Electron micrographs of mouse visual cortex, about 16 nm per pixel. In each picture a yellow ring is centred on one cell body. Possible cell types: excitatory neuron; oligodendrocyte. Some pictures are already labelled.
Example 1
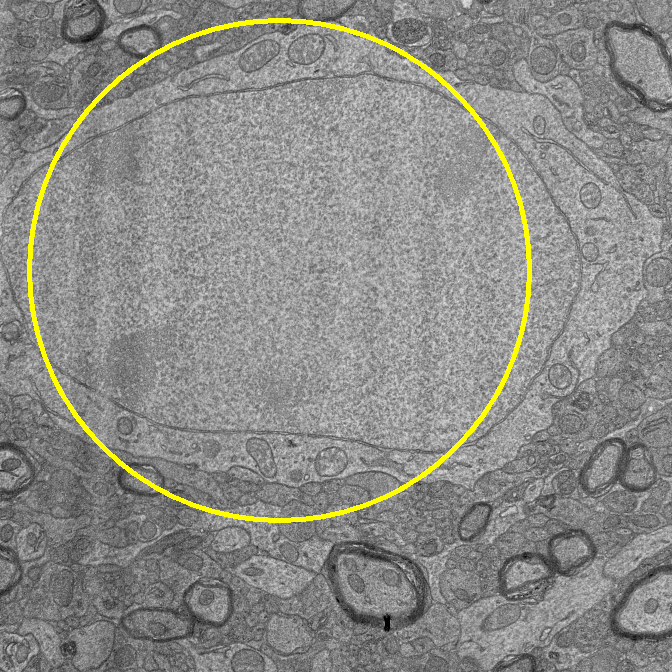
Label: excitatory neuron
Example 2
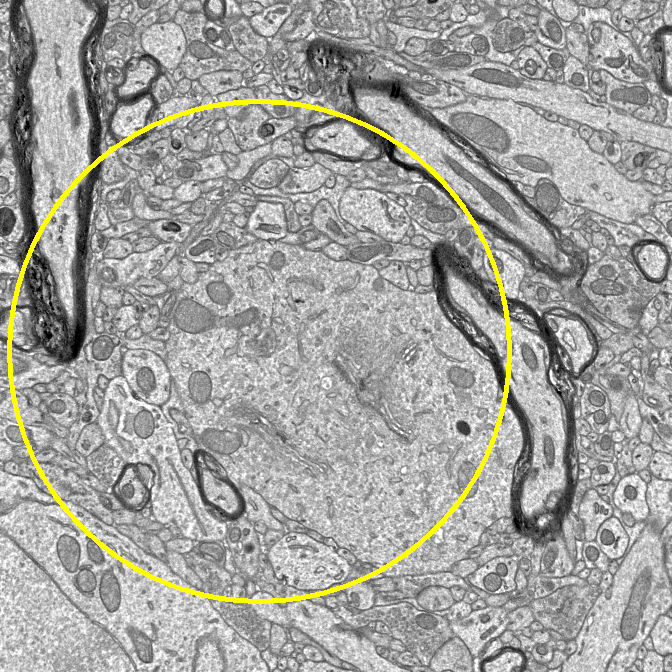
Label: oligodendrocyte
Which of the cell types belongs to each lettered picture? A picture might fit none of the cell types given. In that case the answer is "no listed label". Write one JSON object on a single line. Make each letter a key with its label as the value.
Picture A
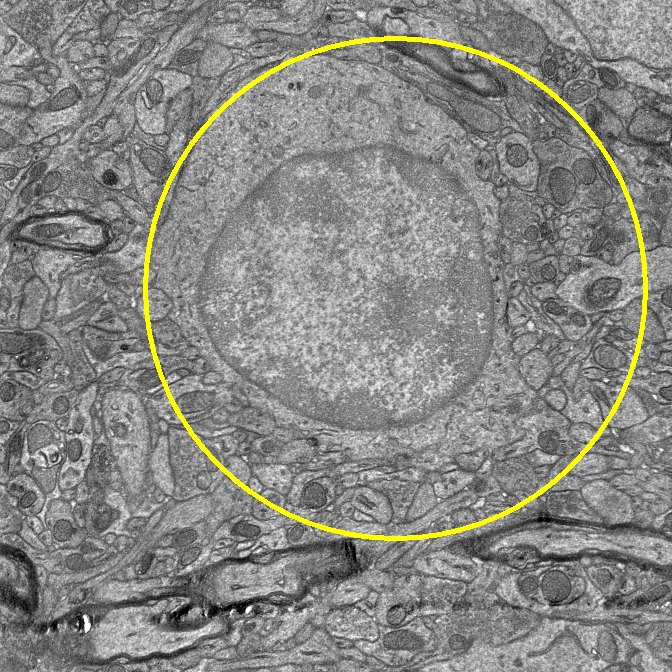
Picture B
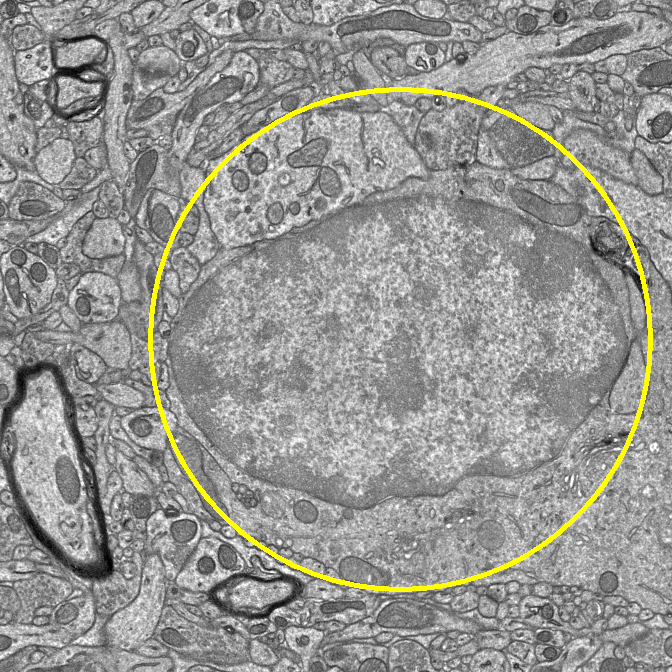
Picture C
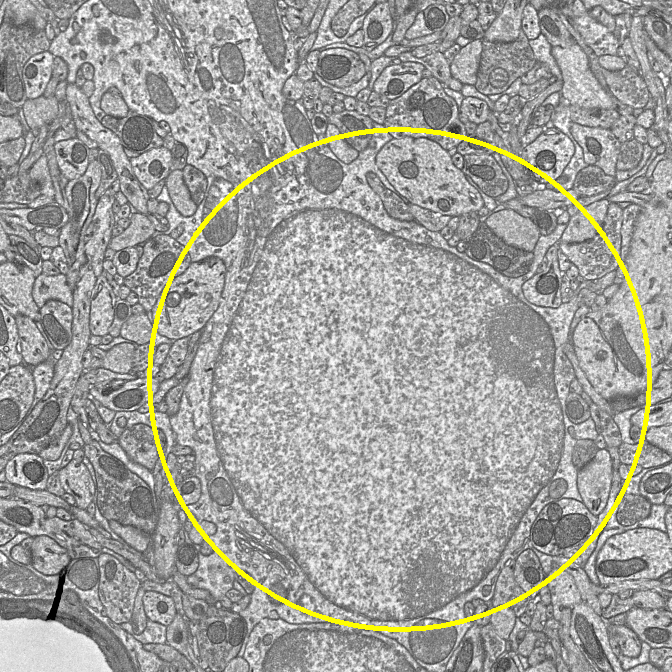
{"A": "oligodendrocyte", "B": "oligodendrocyte", "C": "no listed label"}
